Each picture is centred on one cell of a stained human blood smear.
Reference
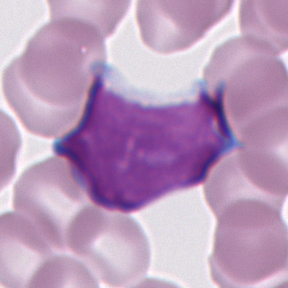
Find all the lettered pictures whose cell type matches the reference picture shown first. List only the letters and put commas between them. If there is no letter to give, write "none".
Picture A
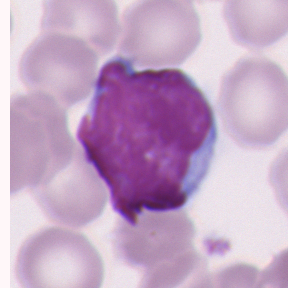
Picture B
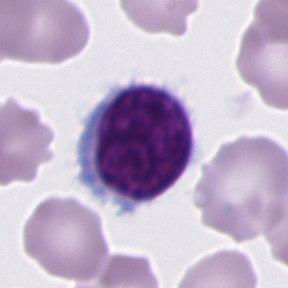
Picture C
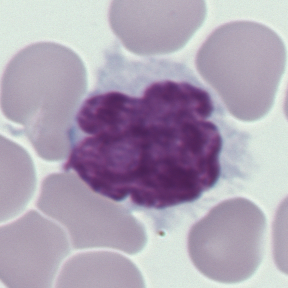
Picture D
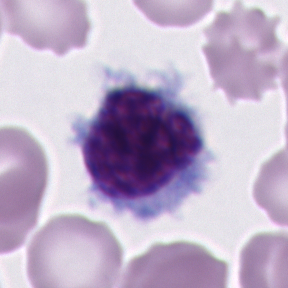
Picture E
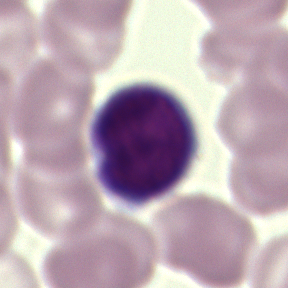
A, E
